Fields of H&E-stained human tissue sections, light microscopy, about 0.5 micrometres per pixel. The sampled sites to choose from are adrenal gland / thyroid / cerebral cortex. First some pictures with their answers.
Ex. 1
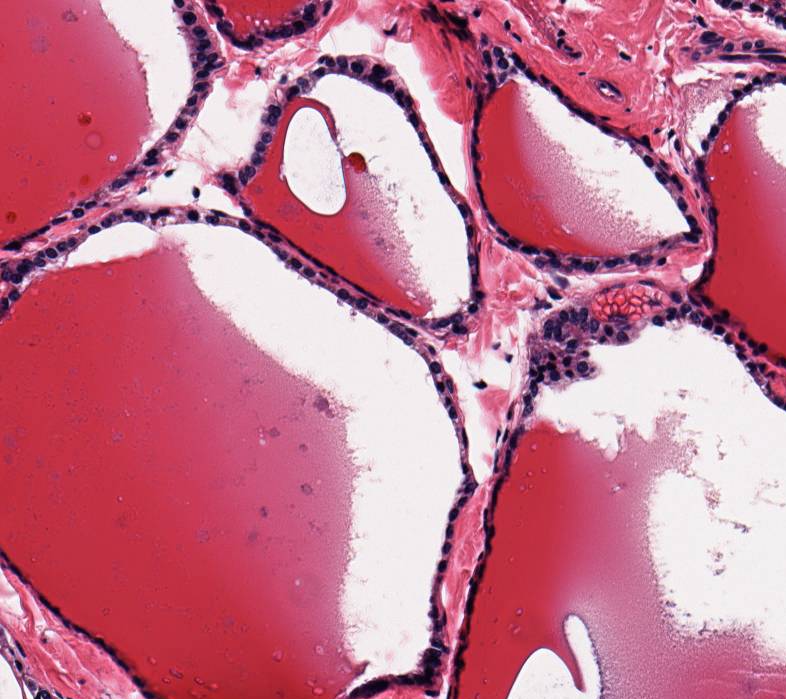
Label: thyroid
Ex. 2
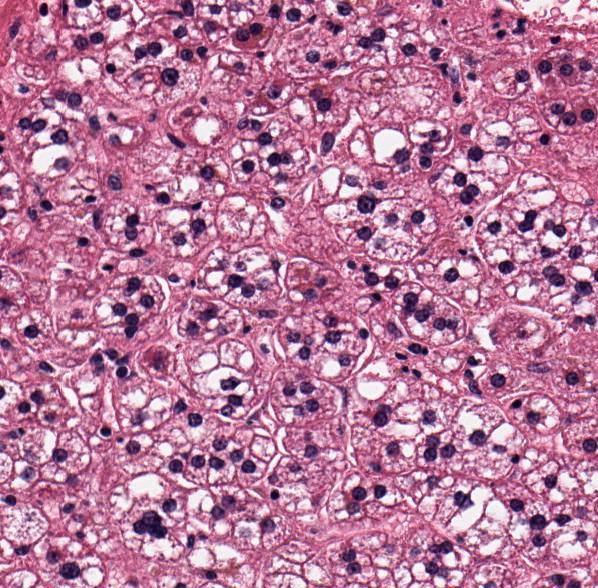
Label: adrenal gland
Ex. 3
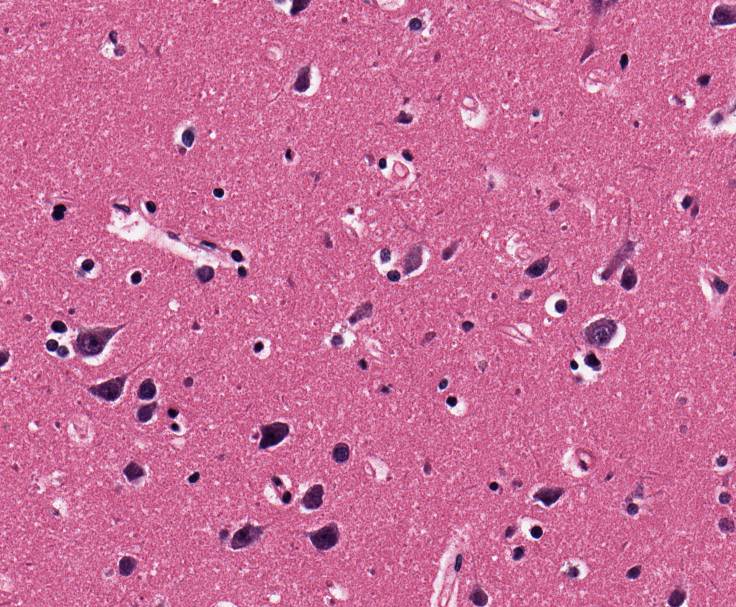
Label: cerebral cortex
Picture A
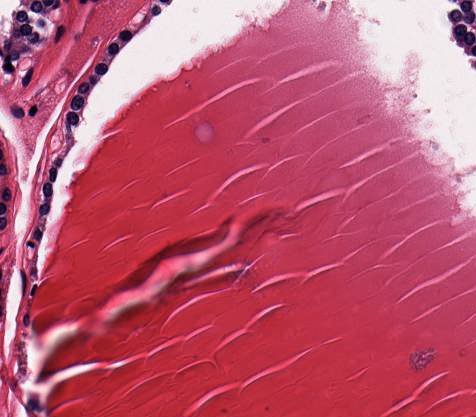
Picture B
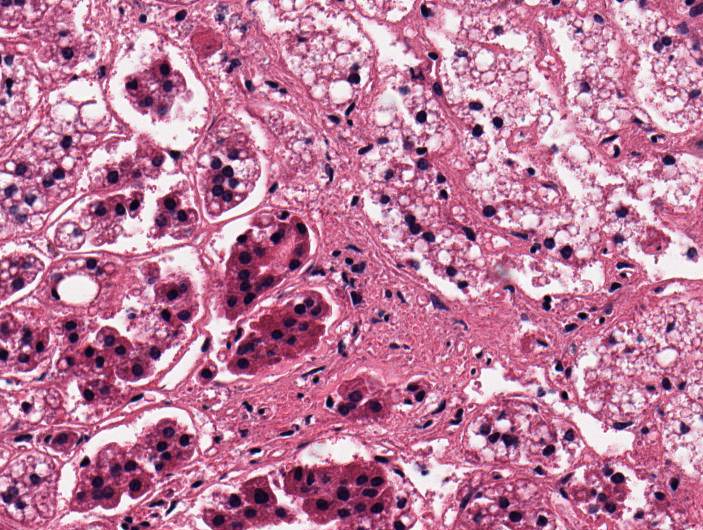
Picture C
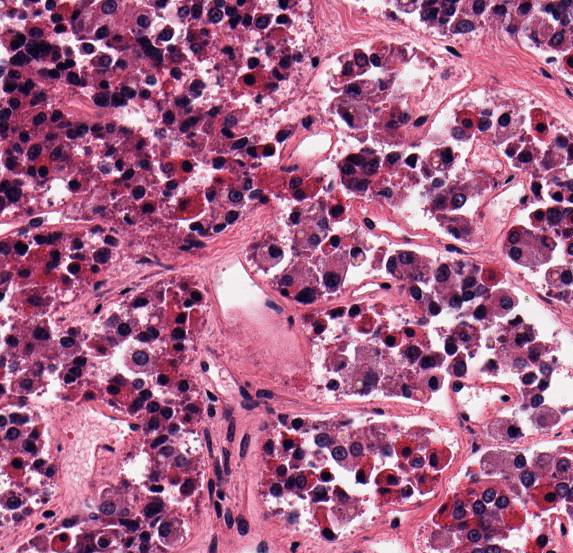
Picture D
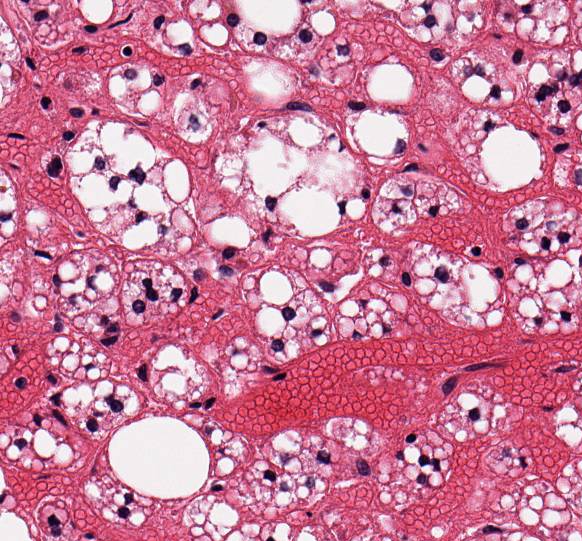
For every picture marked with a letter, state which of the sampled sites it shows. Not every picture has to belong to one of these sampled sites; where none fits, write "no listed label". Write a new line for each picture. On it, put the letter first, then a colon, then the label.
A: thyroid
B: adrenal gland
C: no listed label
D: adrenal gland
